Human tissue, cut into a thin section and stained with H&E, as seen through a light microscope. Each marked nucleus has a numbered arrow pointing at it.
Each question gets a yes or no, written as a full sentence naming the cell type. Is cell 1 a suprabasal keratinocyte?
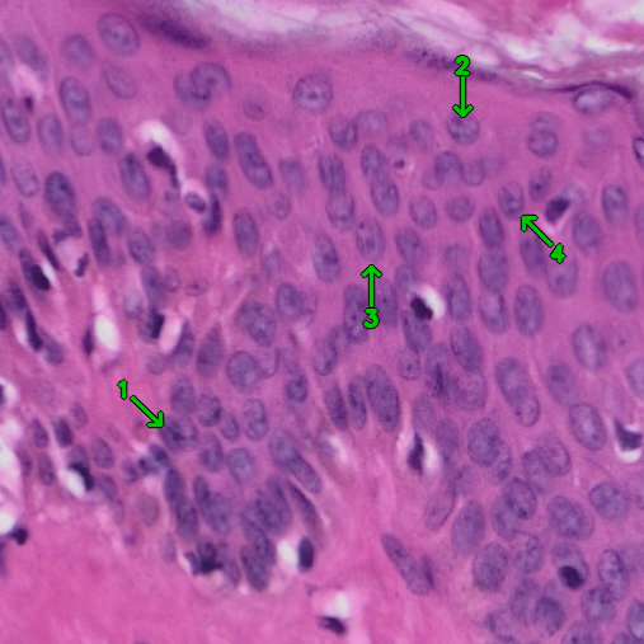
No, cell 1 is identified not as a suprabasal keratinocyte but as a basal keratinocyte.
